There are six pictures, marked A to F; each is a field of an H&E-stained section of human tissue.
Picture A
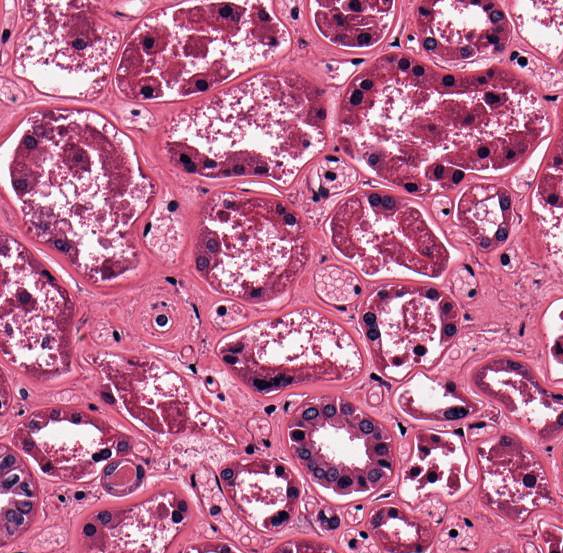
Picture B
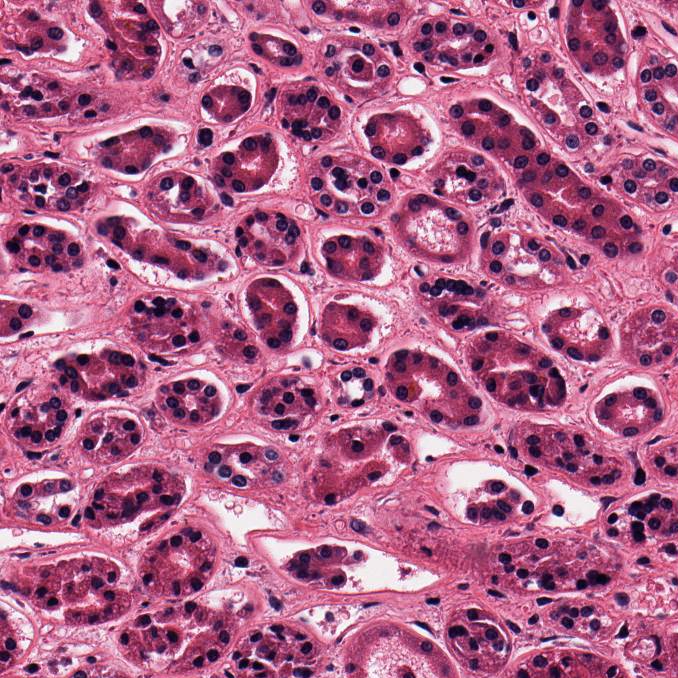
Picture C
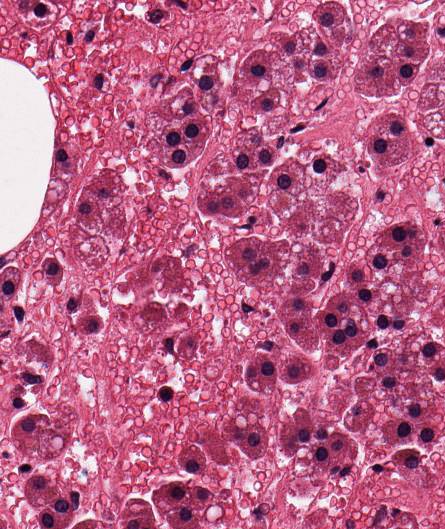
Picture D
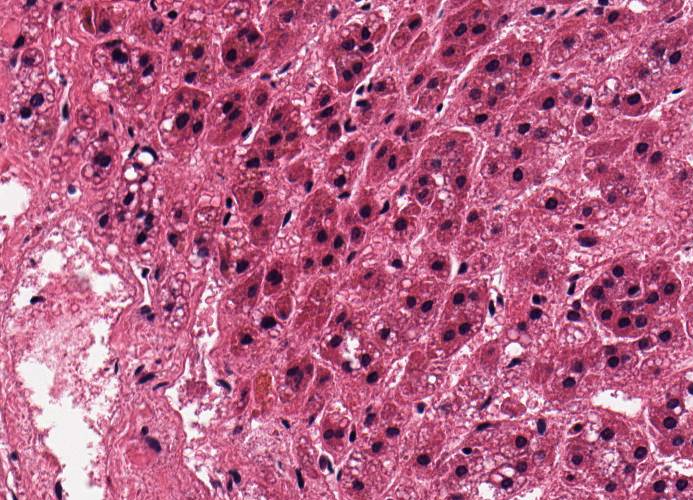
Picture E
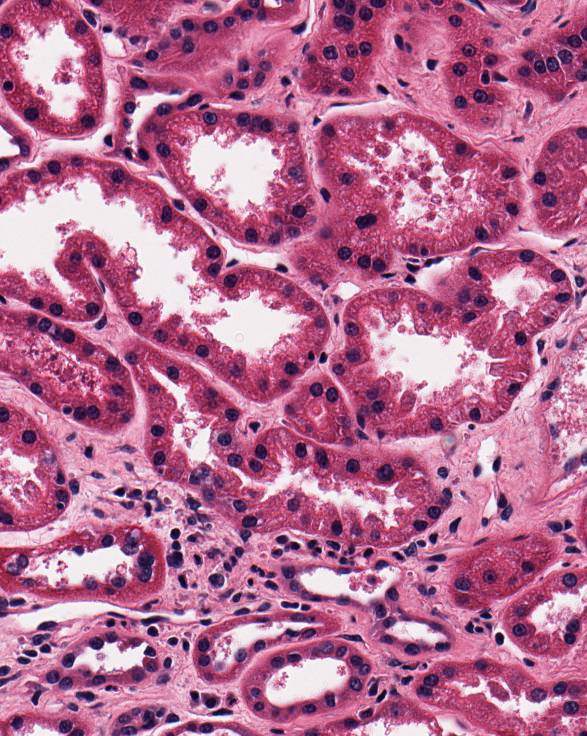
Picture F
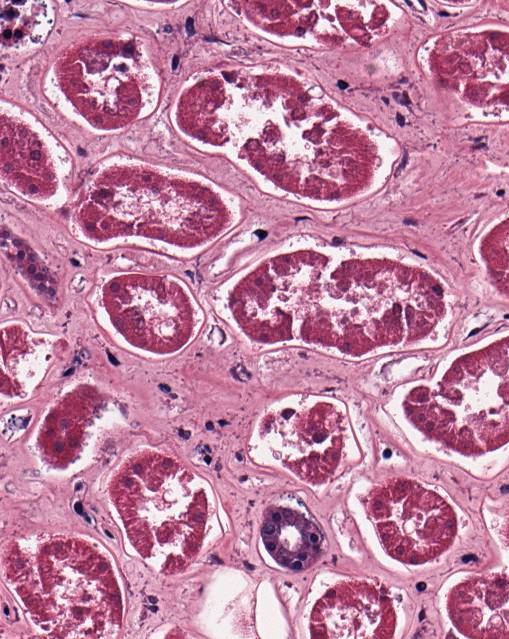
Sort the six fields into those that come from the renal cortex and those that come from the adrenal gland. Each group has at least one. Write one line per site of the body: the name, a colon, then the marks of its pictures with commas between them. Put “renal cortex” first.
renal cortex: A, B, E, F
adrenal gland: C, D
